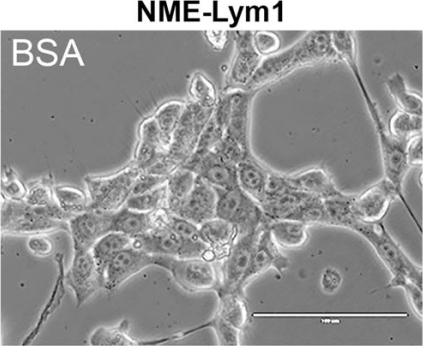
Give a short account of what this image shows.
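Within the groups the cells are polygonal and closely apposed, in an epithelial-like arrangement. Each cell has a large, round to oval nucleus, often with visible nucleoli, surrounded by a moderate rim of grey, finely granular cytoplasm. Thin elongated processes stretch across the open spaces and link neighbouring clusters. A few cells at the edges of the groups are rounded and bright.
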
